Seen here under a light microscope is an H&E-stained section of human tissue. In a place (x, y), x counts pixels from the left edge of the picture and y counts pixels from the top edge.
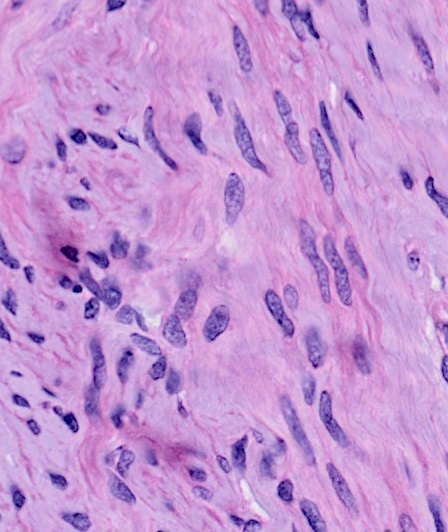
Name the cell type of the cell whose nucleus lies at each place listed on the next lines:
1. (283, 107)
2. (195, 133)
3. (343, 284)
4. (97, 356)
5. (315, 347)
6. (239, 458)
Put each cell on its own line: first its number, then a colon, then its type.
1: smooth muscle cell
2: fibroblast
3: smooth muscle cell
4: smooth muscle cell
5: smooth muscle cell
6: fibroblast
